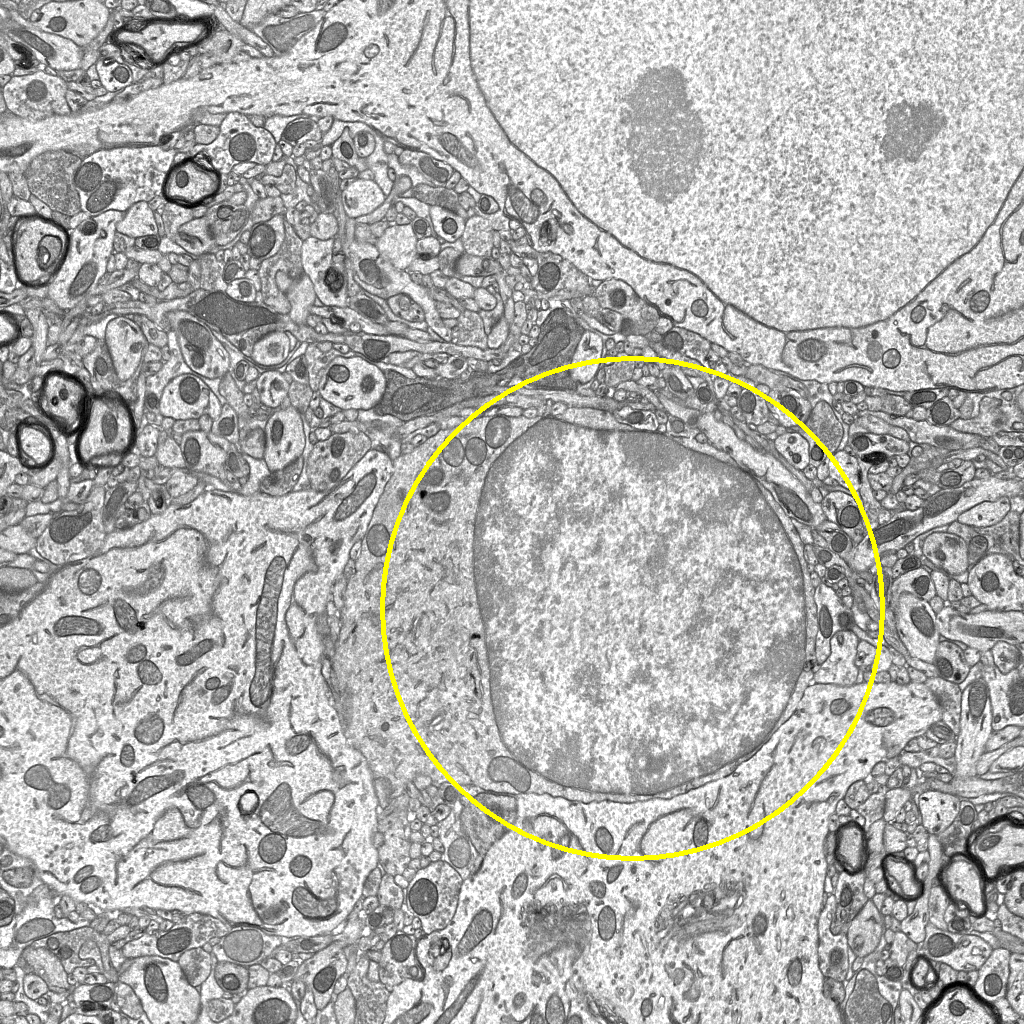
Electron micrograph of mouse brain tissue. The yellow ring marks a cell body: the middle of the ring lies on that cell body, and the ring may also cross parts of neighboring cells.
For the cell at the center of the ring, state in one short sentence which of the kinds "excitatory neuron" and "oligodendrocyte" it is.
This ring's center lies on an oligodendrocyte.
